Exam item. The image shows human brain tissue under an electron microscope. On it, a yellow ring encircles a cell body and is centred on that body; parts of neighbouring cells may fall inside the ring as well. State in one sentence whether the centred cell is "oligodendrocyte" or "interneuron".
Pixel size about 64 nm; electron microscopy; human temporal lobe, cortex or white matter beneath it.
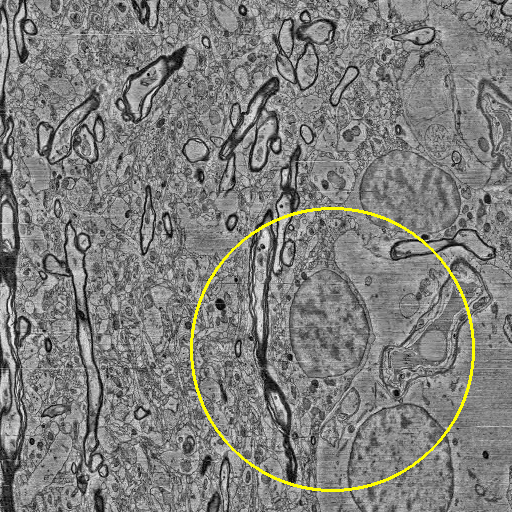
The cell body centred in the ring is an oligodendrocyte.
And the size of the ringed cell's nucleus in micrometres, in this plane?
In this plane the nucleus spans approximately 7 by 5 micrometers.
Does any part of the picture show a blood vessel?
Yes, one shows.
